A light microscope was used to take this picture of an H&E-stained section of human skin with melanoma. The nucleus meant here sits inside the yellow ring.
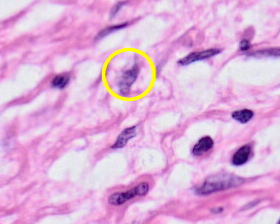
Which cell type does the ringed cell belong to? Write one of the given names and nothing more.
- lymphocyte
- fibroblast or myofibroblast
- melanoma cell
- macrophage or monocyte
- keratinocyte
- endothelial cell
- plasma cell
fibroblast or myofibroblast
